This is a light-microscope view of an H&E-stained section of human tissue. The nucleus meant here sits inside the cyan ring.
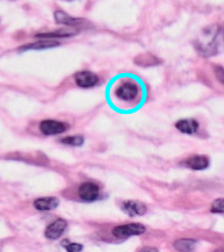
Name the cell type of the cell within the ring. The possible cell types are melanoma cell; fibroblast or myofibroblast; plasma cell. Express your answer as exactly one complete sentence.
In short, the cell within the ring on this section is a plasma cell.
